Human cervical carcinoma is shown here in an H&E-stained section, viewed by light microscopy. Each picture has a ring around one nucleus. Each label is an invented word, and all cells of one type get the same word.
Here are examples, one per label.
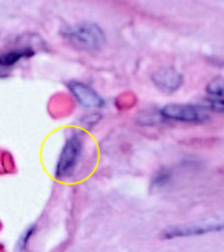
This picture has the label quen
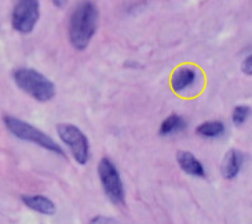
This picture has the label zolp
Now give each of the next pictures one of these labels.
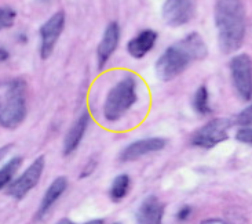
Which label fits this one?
zolp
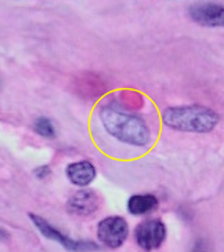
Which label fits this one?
quen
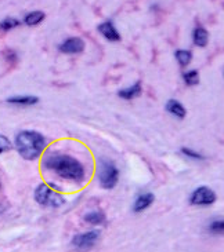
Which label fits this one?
quen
